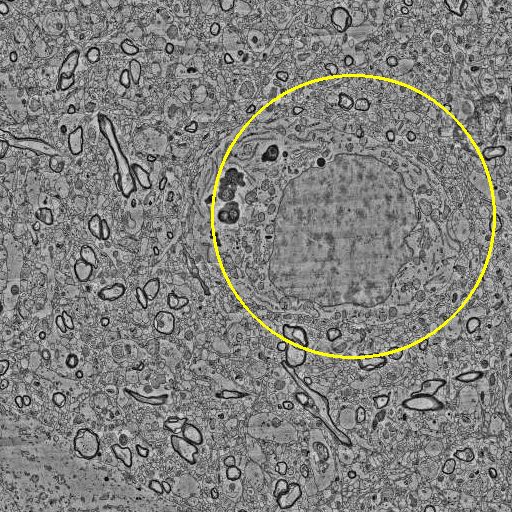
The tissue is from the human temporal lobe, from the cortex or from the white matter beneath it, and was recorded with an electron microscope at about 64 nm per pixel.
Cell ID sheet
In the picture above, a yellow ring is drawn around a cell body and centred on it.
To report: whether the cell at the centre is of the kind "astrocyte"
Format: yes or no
no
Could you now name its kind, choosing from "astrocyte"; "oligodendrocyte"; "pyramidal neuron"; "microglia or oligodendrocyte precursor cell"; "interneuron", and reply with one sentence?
The cell in question here is an interneuron.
